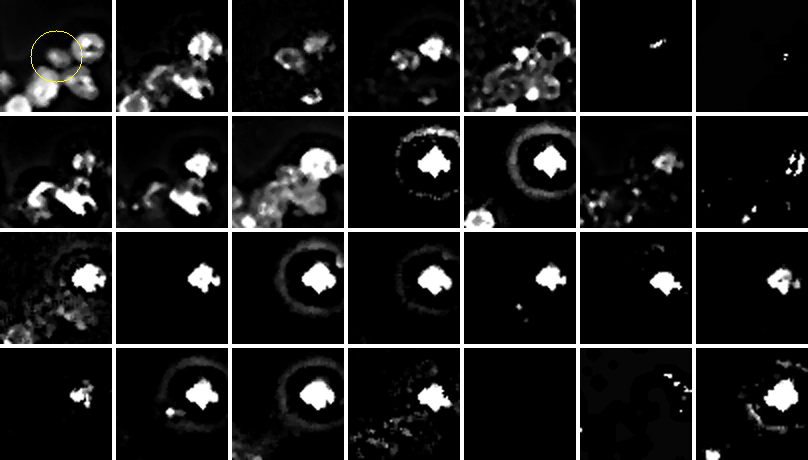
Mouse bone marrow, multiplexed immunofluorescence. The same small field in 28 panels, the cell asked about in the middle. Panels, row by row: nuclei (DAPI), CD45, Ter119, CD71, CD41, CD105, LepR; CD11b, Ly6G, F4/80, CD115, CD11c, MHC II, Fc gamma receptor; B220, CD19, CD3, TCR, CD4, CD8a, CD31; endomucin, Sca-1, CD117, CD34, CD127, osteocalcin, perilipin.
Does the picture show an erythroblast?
Yes.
